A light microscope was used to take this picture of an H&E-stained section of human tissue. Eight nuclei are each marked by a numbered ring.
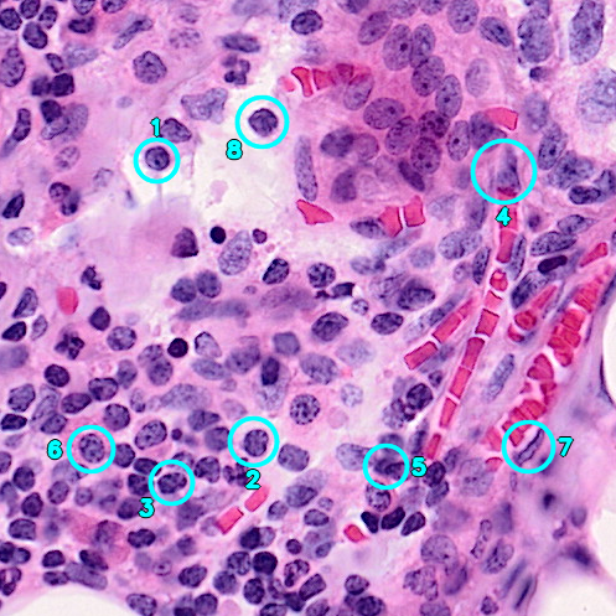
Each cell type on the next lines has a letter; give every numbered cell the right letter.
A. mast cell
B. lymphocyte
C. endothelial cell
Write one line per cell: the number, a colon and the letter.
1: B
2: B
3: B
4: C
5: B
6: A
7: C
8: B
